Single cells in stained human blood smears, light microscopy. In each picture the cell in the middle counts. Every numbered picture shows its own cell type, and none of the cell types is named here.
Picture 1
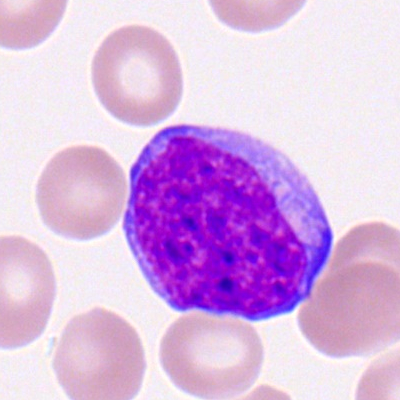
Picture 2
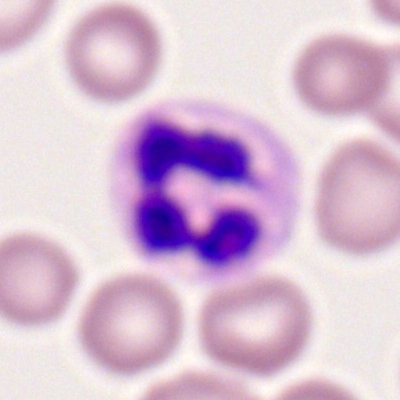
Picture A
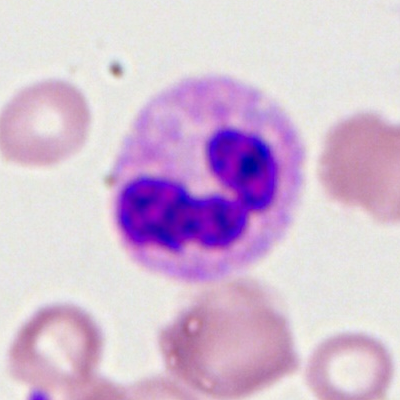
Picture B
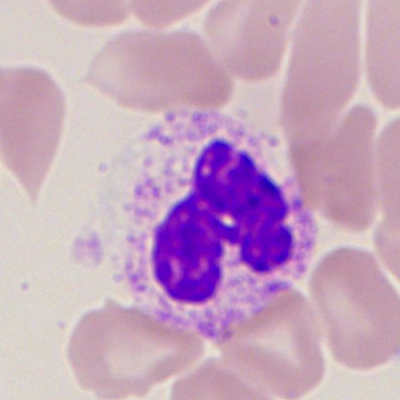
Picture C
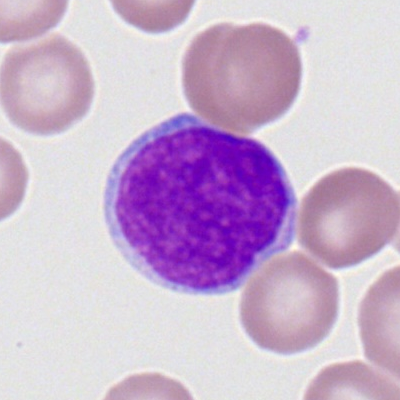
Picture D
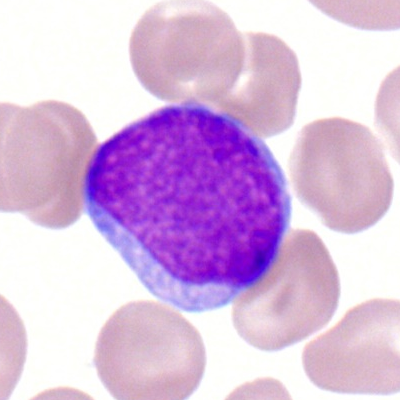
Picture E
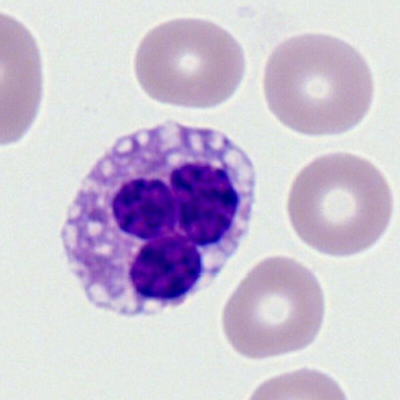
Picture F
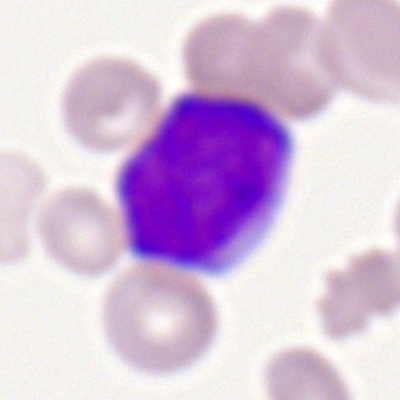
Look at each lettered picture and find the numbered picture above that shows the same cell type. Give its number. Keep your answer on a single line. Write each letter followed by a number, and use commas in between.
A 2, B 2, C 1, D 1, E 2, F 1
